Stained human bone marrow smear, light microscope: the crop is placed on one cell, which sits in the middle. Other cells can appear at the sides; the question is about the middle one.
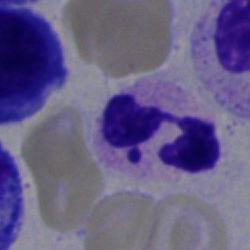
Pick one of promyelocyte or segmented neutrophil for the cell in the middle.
segmented neutrophil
